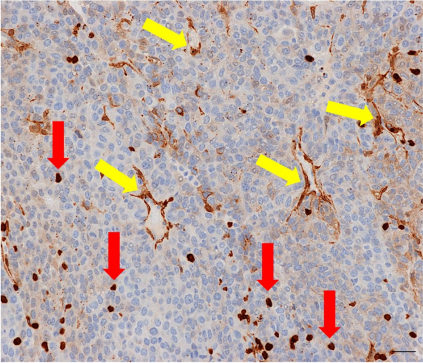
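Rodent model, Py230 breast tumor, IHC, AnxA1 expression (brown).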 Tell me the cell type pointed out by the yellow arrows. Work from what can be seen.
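Brown-stained thin elongated cells line small channels among tumor cells. The stained linings branch between sheets of pale tumor cells. So: endothelial cells lining microvessels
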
